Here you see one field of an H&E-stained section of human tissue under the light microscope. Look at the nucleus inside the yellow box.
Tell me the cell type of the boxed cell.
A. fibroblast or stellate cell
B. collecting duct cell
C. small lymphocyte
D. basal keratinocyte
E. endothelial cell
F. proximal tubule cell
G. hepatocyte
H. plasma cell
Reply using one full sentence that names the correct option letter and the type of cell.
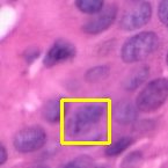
Option D names it right: the boxed cell is a basal keratinocyte.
